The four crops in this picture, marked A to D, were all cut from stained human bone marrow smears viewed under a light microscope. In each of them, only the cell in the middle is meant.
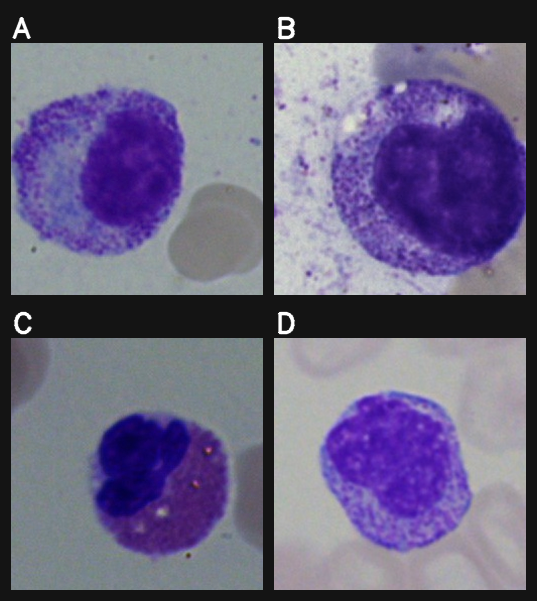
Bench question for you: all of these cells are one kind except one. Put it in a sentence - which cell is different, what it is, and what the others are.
Unlike the other crops, all showing myelocytes, crop C is an eosinophil.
